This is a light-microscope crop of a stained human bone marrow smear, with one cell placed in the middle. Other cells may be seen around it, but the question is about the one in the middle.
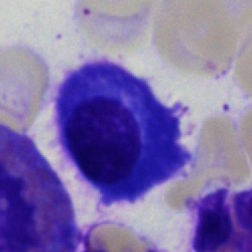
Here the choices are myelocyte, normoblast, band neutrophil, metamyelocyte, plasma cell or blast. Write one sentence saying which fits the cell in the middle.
The cell at the centre of the field is a plasma cell.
